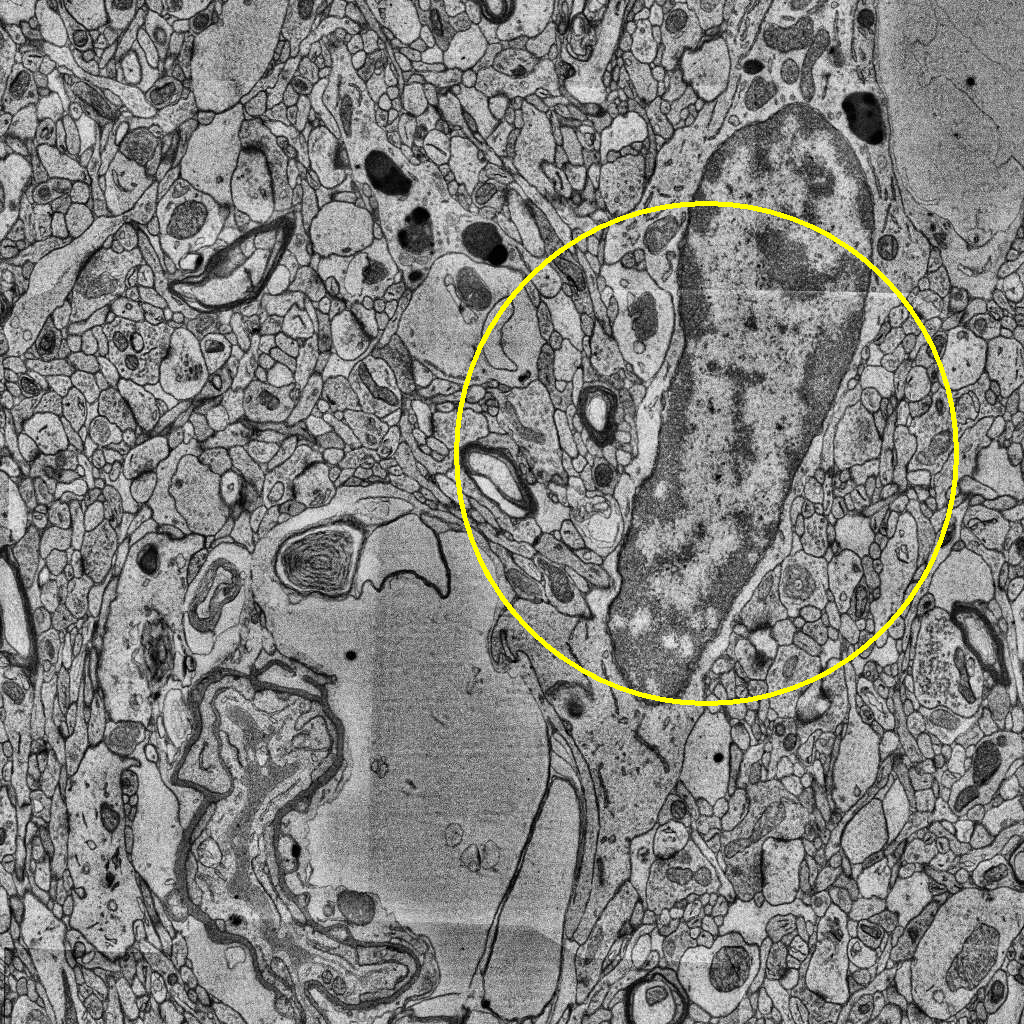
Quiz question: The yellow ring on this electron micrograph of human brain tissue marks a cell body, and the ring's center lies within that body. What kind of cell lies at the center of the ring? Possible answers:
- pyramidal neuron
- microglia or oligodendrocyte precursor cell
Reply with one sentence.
The ring's center lies on a microglial cell or oligodendrocyte precursor cell.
